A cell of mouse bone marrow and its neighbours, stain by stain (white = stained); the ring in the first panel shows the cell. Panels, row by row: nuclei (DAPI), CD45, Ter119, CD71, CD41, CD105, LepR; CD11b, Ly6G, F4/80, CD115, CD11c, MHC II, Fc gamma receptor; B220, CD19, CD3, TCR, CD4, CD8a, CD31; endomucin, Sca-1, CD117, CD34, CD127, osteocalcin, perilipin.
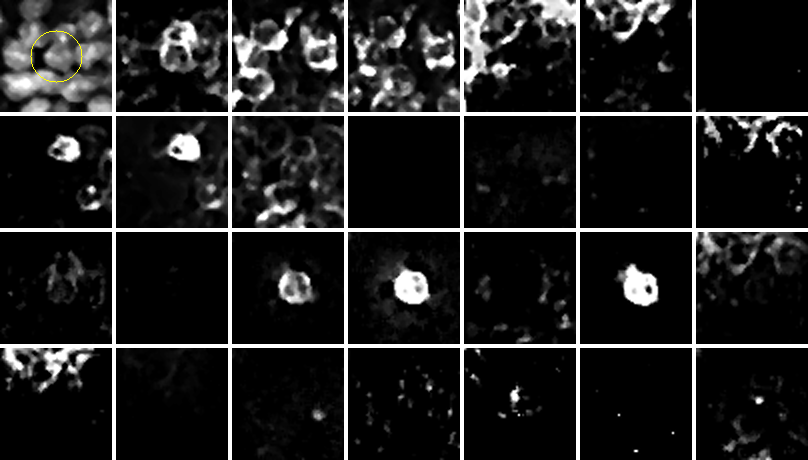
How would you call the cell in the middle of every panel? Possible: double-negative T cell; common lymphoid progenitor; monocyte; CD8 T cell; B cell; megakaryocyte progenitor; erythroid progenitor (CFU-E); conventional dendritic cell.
I would call it a CD8 T cell.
